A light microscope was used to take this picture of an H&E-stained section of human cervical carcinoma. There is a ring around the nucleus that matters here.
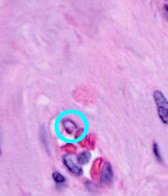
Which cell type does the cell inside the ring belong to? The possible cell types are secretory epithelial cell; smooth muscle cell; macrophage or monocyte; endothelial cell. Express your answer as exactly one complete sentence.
In the stained section, the cell inside the ring is an endothelial cell.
